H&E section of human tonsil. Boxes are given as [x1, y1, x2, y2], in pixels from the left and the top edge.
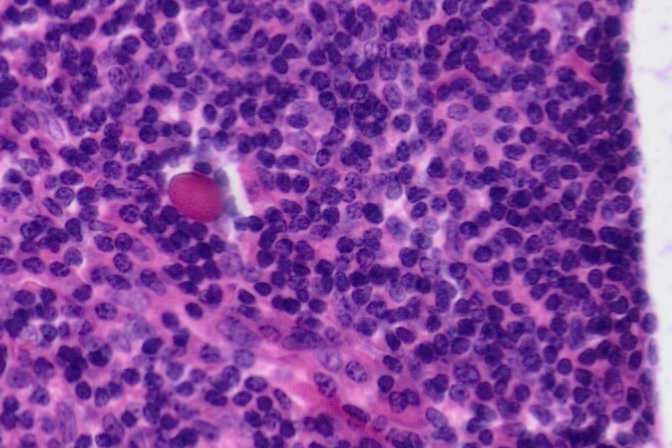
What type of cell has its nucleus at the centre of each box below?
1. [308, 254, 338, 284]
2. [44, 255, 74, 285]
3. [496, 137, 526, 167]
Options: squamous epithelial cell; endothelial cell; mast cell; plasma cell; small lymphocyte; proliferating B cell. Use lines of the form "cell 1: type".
cell 1: small lymphocyte
cell 2: plasma cell
cell 3: small lymphocyte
